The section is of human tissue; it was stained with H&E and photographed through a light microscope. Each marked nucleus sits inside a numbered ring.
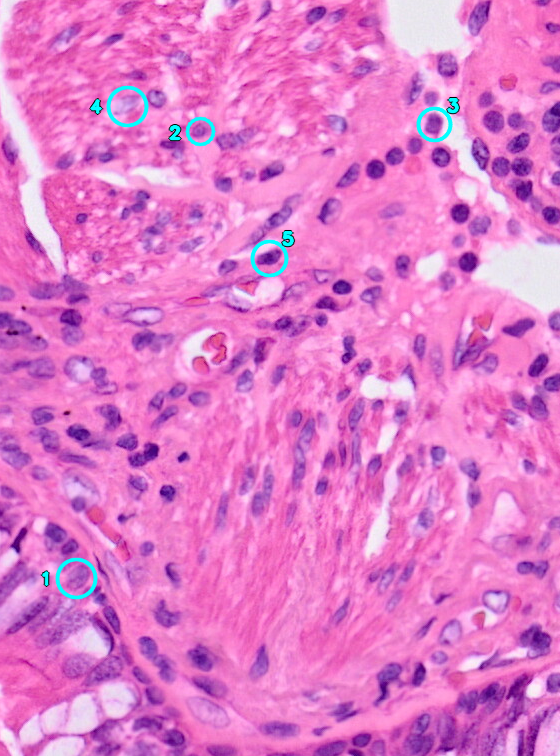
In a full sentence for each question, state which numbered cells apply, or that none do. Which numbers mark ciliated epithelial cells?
Only the cell numbered 1 qualifies as a ciliated epithelial cell among the marked cells.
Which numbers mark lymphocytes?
To be specific, the cells numbered 3 and 5 are lymphocytes.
